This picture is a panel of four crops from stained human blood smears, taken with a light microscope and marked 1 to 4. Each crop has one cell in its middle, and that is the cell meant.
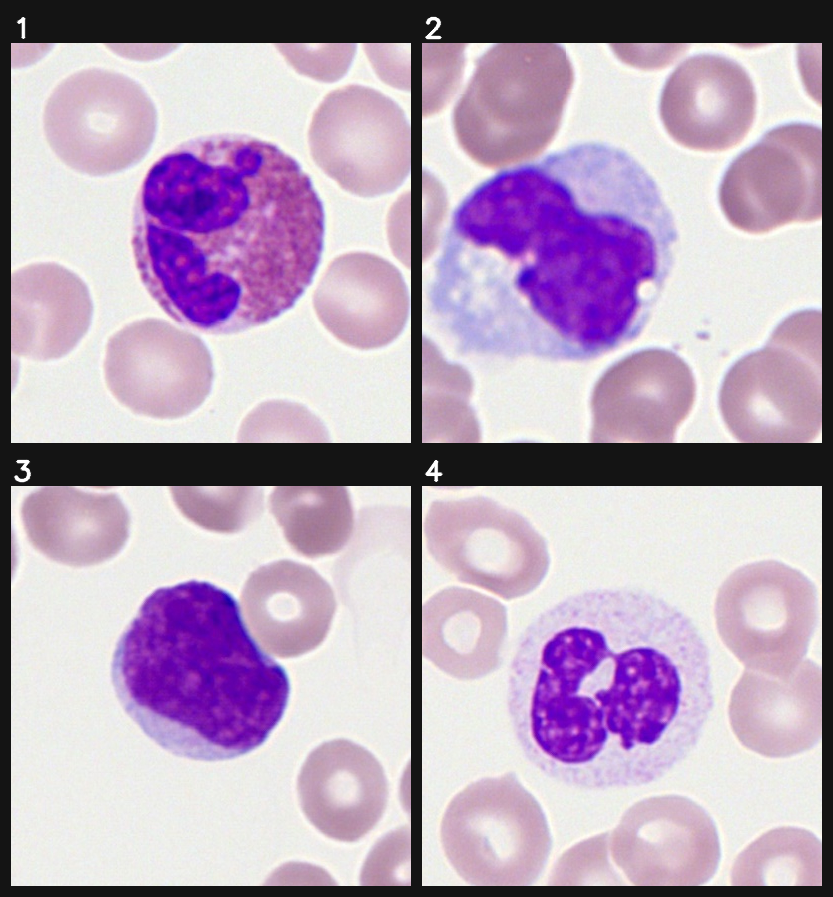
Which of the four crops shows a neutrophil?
4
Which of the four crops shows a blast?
3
